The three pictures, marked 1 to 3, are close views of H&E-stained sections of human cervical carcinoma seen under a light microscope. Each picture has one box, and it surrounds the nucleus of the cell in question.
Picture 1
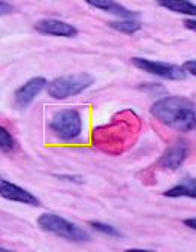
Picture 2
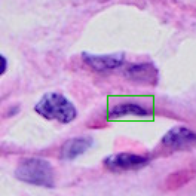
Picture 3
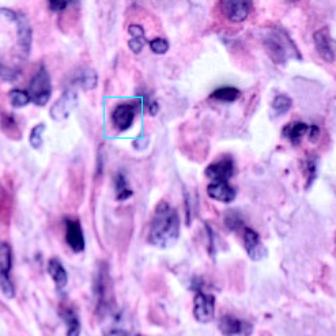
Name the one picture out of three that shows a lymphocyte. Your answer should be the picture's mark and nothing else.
3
